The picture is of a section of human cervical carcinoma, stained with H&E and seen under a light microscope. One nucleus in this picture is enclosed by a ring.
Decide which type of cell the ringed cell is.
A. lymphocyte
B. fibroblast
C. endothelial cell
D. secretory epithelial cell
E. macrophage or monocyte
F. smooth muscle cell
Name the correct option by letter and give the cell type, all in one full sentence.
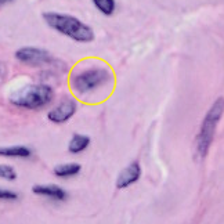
It is option C that correctly calls the ringed cell an endothelial cell.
